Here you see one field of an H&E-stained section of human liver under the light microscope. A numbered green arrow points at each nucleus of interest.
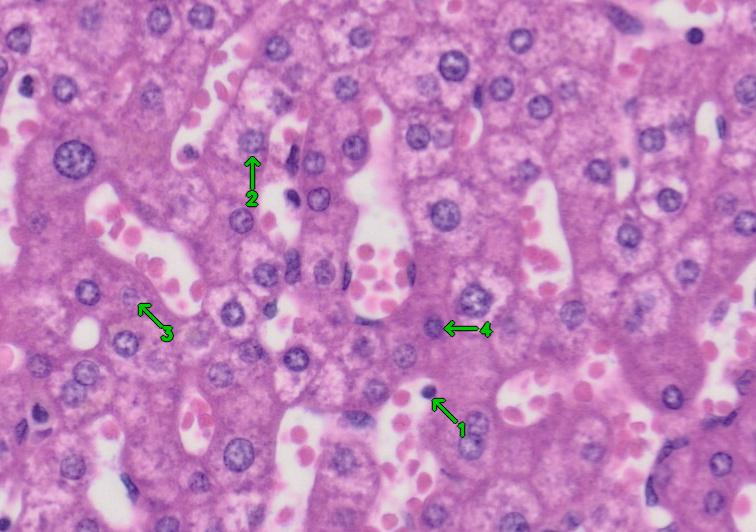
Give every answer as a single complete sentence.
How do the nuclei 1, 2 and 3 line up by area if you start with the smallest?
From smallest to largest, the order is 1, 3, 2.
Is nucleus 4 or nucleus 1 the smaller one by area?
With nucleus 4 about 1.5 times its size, nucleus 1 is the smaller of the two.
